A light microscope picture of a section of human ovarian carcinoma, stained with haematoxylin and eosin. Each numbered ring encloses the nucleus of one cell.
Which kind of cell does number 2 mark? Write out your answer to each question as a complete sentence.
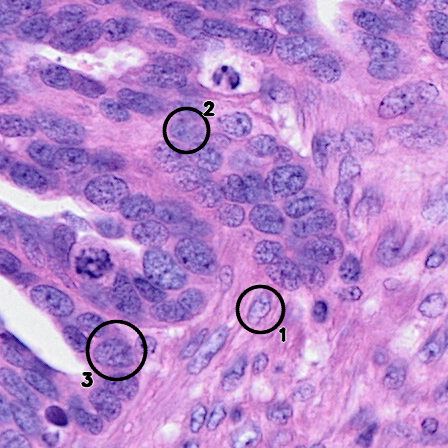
Corresponding to a carcinoma cell is the cell labelled 2.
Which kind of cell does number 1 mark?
The numbered cell 1 in this field is a fibroblast.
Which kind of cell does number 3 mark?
The numbered cell 3 in this field is a carcinoma cell.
